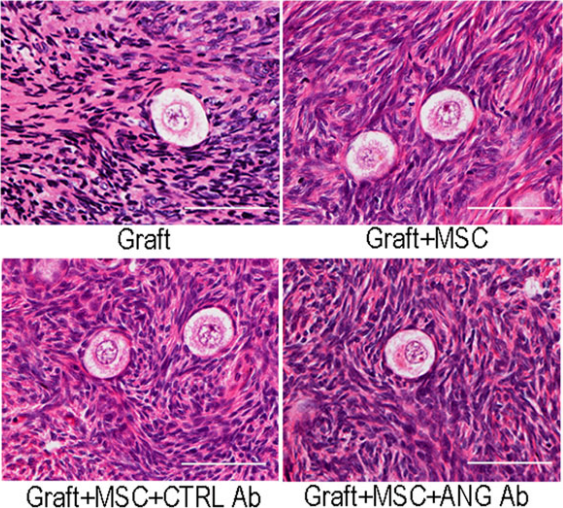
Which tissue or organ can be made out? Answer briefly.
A: Ovarian tissue.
